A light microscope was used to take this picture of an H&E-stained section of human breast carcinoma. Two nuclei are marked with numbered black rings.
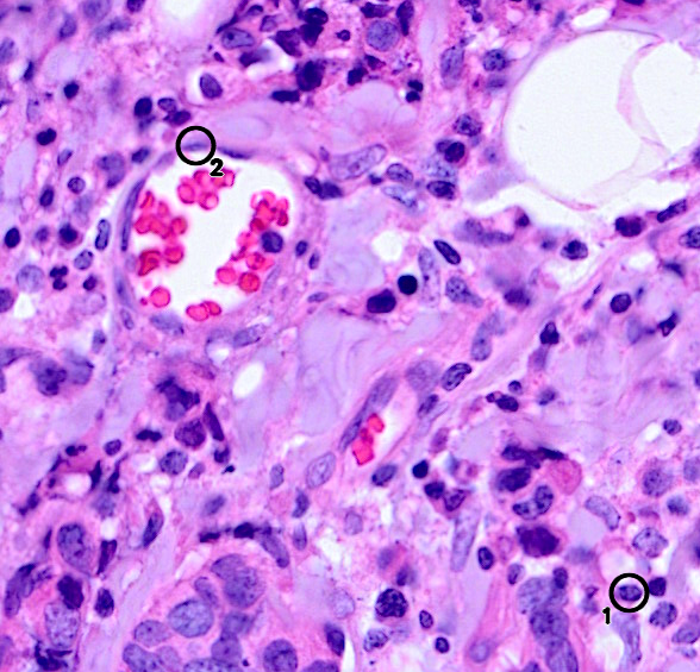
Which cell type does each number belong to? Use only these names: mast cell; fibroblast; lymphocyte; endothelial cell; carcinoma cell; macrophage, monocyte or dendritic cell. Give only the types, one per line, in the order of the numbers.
lymphocyte
endothelial cell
